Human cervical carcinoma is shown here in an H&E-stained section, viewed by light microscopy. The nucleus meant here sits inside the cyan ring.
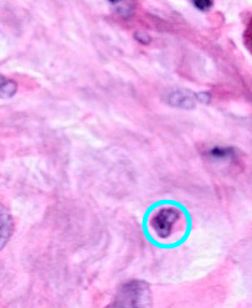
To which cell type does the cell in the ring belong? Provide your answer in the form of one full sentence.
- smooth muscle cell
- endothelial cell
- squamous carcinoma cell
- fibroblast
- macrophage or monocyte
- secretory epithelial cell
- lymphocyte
In this tissue section, the cell in the ring is to be classed as a macrophage or monocyte.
